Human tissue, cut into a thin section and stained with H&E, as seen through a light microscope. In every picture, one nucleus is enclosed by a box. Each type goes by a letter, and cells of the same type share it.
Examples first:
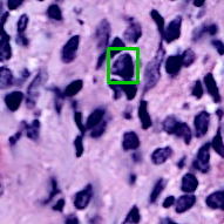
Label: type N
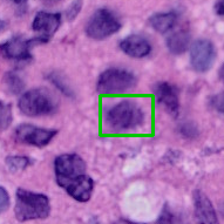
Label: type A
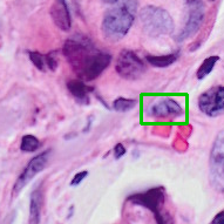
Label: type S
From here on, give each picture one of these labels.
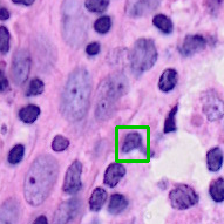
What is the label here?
type N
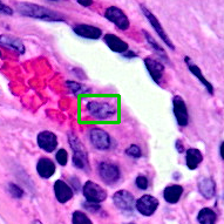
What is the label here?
type S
